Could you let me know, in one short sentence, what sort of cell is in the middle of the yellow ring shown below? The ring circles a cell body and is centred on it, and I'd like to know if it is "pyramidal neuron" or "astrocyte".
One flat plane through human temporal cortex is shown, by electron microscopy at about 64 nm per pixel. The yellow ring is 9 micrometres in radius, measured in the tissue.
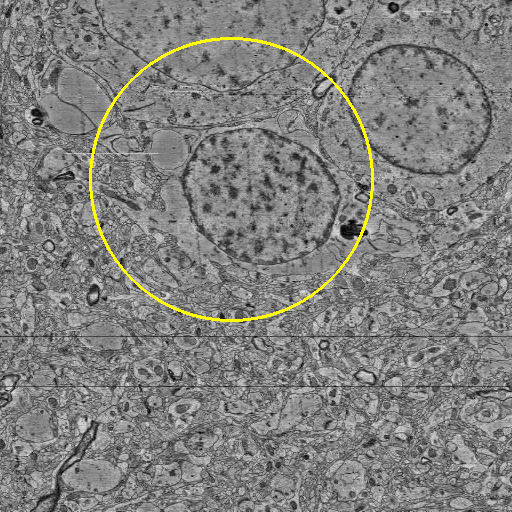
The ring circles the cell body of an astrocyte.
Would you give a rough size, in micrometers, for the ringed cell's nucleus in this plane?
The nucleus comes to roughly 10 by 9 micrometres in this plane.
